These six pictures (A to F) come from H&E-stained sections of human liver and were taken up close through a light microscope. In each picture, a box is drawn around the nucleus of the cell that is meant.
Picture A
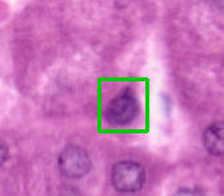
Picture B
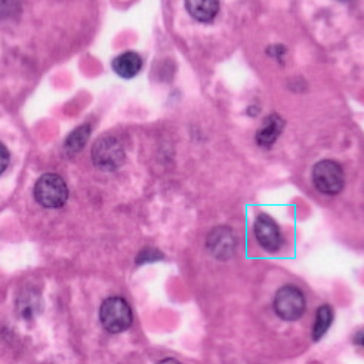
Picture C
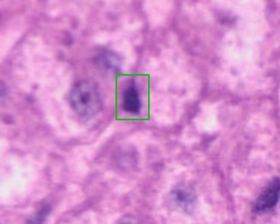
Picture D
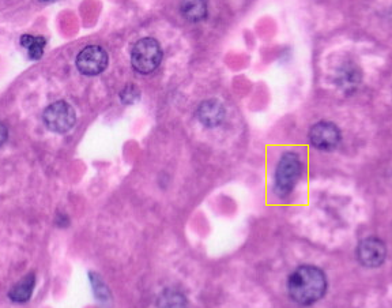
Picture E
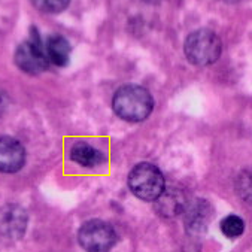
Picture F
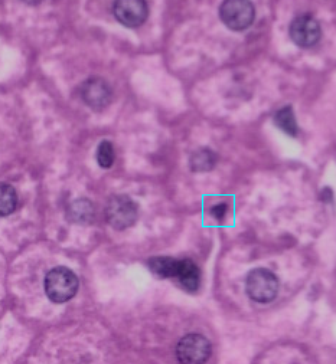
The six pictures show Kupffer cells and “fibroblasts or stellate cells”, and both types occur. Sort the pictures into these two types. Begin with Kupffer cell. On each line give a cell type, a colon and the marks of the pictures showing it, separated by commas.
Kupffer cell: A, B
fibroblast or stellate cell: C, D, E, F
